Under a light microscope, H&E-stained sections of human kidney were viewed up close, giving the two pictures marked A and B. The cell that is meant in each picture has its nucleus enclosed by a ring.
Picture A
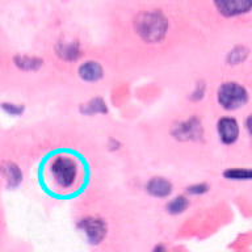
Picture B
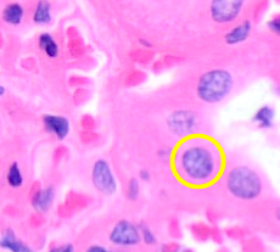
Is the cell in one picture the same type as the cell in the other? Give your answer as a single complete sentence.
Yes, the two pictures both show “loop of Henle or distal tubule cells”.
